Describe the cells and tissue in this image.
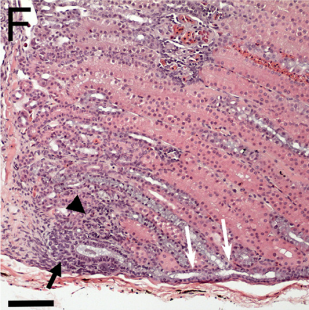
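Kidney cortex near the capsule, with long parallel tubules of pink-staining epithelium curving toward the capsule at the lower edge. A thin pink capsule bounds the tissue below.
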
